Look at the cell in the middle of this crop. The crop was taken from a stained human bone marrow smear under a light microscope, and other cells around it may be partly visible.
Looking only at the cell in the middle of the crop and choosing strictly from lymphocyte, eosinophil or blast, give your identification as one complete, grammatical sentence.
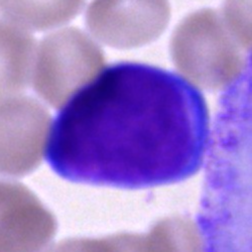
The cell shown in the center of this light-microscope crop is a blast.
